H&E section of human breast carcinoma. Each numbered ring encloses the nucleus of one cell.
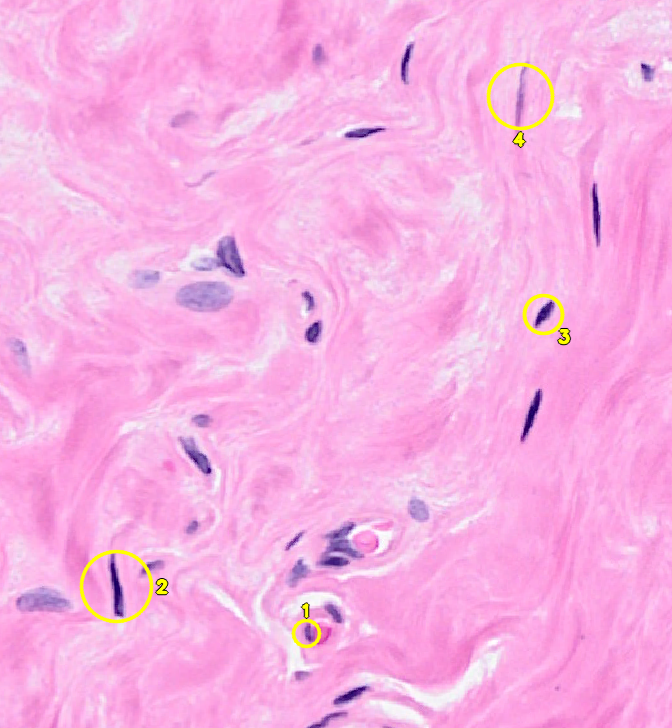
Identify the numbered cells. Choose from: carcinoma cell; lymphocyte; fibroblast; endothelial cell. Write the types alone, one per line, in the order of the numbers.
endothelial cell
fibroblast
fibroblast
fibroblast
